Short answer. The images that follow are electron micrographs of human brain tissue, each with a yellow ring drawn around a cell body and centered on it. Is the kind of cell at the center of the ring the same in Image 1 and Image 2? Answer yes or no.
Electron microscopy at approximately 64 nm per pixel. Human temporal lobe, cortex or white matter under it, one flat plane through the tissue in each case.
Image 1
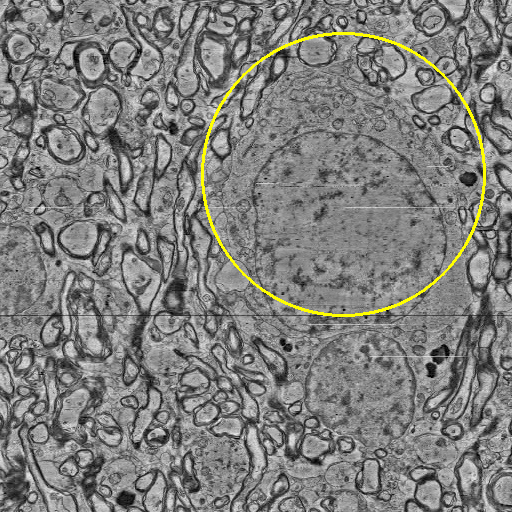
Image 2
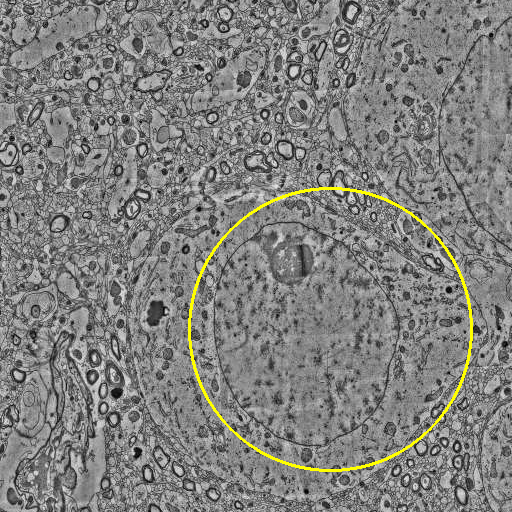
yes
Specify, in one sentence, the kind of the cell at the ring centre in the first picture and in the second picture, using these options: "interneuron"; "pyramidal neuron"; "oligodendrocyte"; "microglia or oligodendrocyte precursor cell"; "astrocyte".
Each of the ringed cells, first and second, is a pyramidal neuron.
